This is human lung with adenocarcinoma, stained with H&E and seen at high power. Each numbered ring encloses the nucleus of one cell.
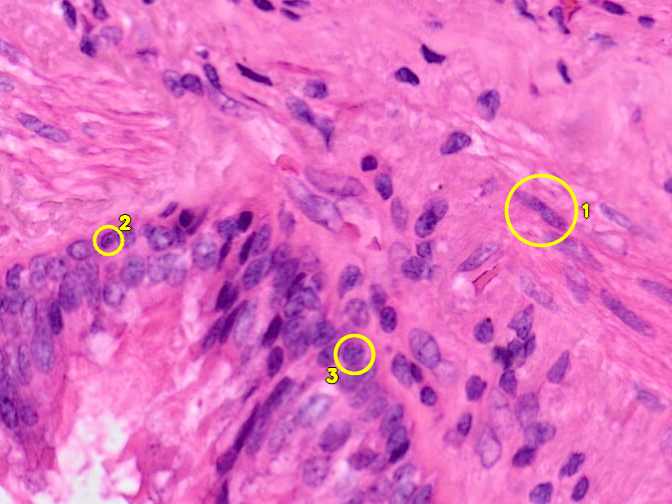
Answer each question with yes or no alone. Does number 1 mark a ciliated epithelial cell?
no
